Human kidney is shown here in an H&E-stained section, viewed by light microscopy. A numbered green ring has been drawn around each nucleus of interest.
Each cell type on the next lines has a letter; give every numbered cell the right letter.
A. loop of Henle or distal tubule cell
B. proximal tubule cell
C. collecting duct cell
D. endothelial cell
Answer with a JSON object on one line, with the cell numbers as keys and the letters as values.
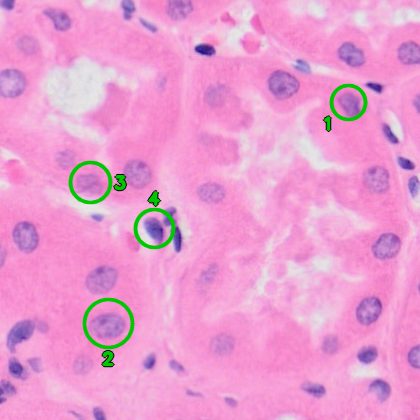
{"1": "B", "2": "B", "3": "B", "4": "D"}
